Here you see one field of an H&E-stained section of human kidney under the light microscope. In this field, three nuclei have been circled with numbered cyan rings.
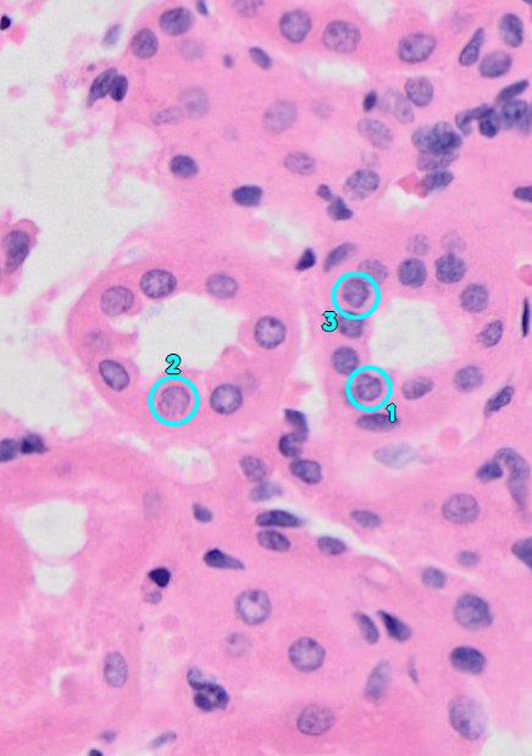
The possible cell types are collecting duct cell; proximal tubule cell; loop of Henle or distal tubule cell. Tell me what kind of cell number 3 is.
collecting duct cell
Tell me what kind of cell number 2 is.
proximal tubule cell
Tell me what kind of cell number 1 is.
collecting duct cell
